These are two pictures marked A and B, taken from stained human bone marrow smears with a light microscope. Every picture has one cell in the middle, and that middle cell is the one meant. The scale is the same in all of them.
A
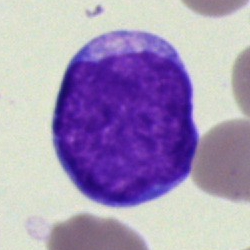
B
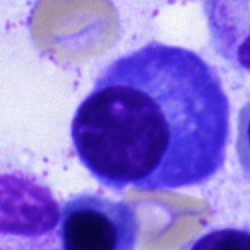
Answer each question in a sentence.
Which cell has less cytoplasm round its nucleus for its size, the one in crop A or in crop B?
Of the two, the nucleus in crop A makes up the greater part of its cell.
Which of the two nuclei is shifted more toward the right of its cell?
Seen within its cell, the nucleus in crop A lies further toward the right.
